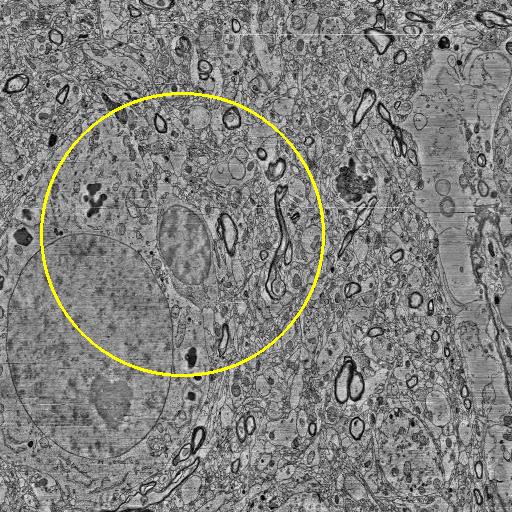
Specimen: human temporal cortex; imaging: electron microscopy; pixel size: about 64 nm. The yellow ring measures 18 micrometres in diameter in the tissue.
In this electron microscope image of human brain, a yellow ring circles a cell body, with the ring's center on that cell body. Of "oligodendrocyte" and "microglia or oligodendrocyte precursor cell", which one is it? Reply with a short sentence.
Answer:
It is an oligodendrocyte at the center of the ring.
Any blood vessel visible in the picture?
Yes, the image shows a blood vessel.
